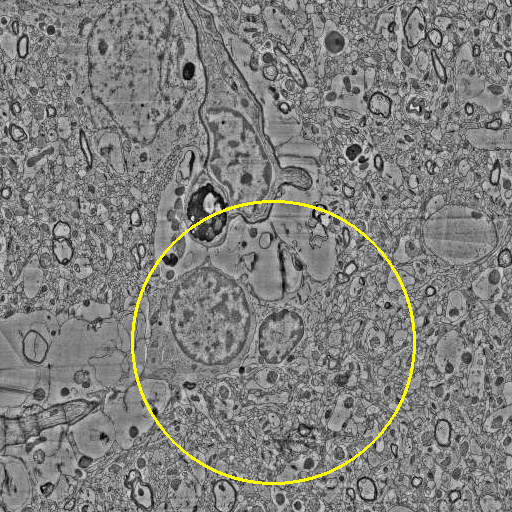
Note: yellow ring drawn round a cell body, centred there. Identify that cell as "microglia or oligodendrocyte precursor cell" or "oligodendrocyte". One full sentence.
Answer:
The cell in the middle of the ring is a microglial cell or oligodendrocyte precursor cell.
